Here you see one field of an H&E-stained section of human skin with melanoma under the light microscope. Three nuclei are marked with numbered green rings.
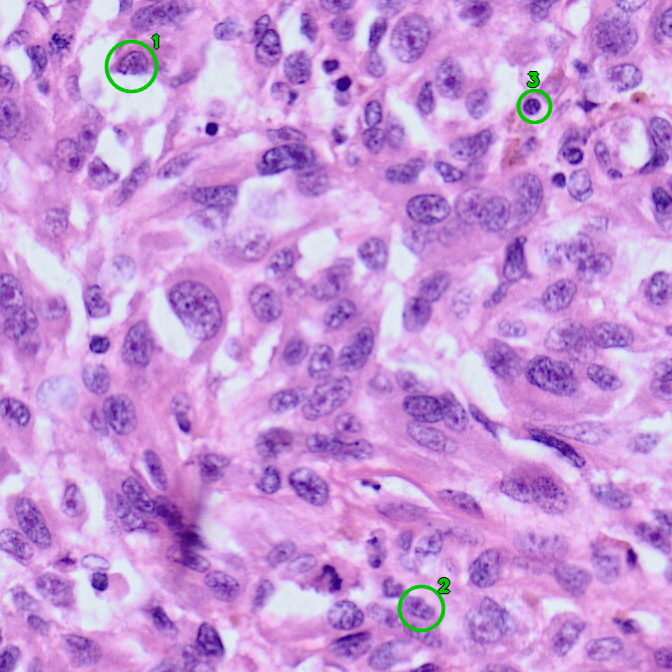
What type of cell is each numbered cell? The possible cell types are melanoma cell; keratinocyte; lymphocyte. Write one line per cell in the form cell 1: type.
cell 1: melanoma cell
cell 2: melanoma cell
cell 3: lymphocyte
